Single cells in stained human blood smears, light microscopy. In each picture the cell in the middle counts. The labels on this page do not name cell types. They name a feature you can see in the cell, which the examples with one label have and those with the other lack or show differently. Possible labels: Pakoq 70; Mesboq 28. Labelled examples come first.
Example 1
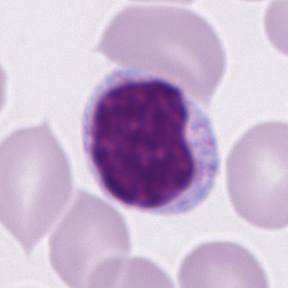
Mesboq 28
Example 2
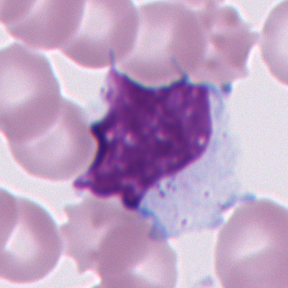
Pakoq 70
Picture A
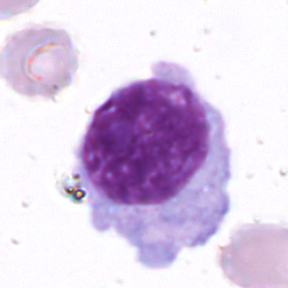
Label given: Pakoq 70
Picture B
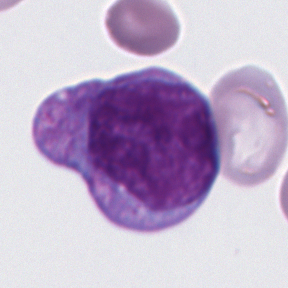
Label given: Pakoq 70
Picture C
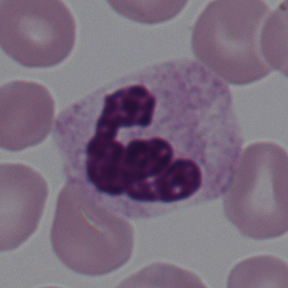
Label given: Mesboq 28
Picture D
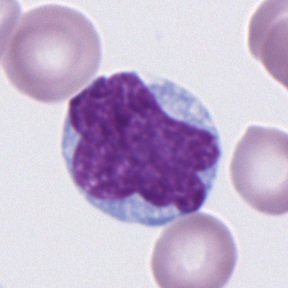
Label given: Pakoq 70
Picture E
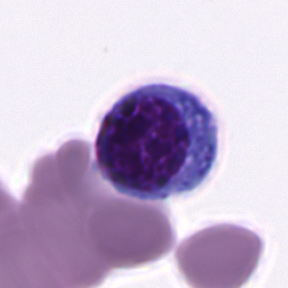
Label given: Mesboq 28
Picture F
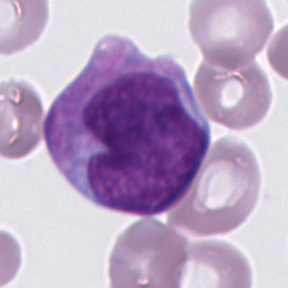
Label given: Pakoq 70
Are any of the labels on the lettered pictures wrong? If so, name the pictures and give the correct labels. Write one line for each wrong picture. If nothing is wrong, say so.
D: change Pakoq 70 to Mesboq 28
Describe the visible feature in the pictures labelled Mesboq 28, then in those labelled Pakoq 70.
Mesboq 28: smooth outline; Pakoq 70: ragged outline or projections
